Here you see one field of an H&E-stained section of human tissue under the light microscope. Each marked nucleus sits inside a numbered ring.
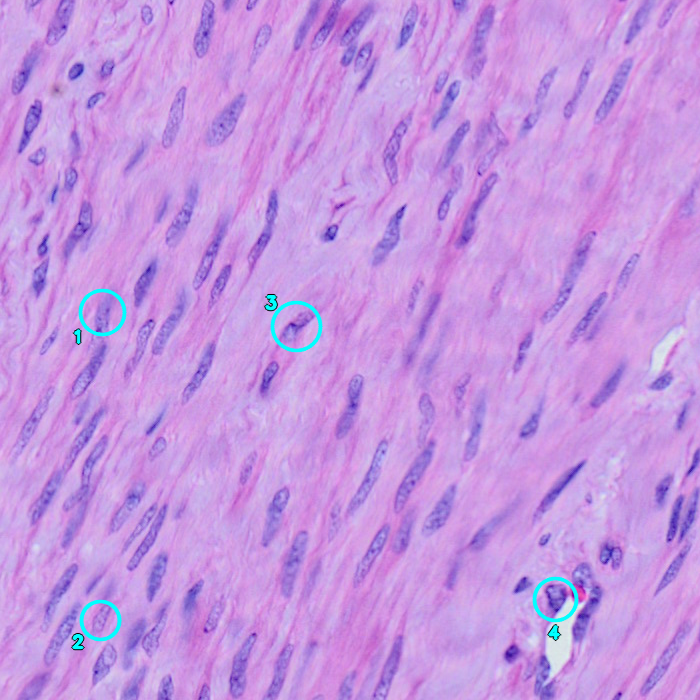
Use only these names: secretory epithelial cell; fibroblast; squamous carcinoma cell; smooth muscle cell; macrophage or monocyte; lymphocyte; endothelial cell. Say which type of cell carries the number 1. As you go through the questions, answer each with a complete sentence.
Classified as a smooth muscle cell is the cell with the number 1.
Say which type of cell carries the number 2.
As for number 2, that cell is a smooth muscle cell.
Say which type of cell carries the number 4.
The cell to which the number 4 is assigned is an endothelial cell.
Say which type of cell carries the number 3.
The cell identified by number 3 is a smooth muscle cell.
